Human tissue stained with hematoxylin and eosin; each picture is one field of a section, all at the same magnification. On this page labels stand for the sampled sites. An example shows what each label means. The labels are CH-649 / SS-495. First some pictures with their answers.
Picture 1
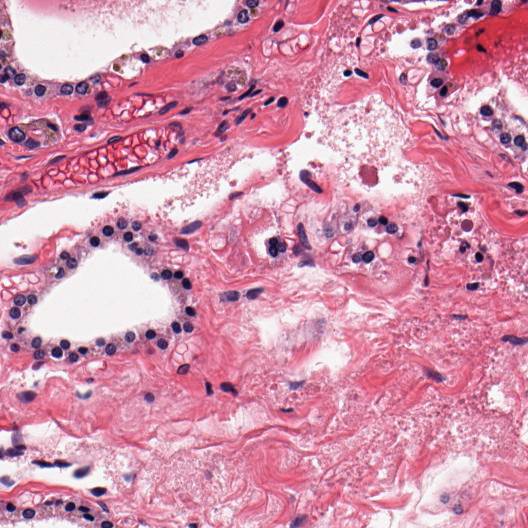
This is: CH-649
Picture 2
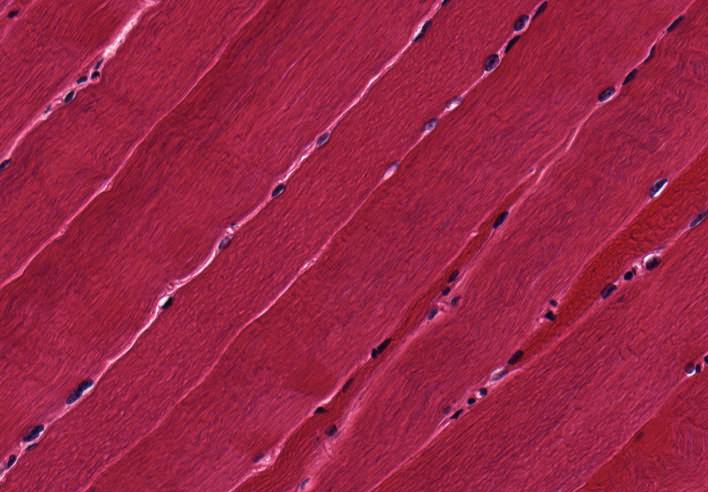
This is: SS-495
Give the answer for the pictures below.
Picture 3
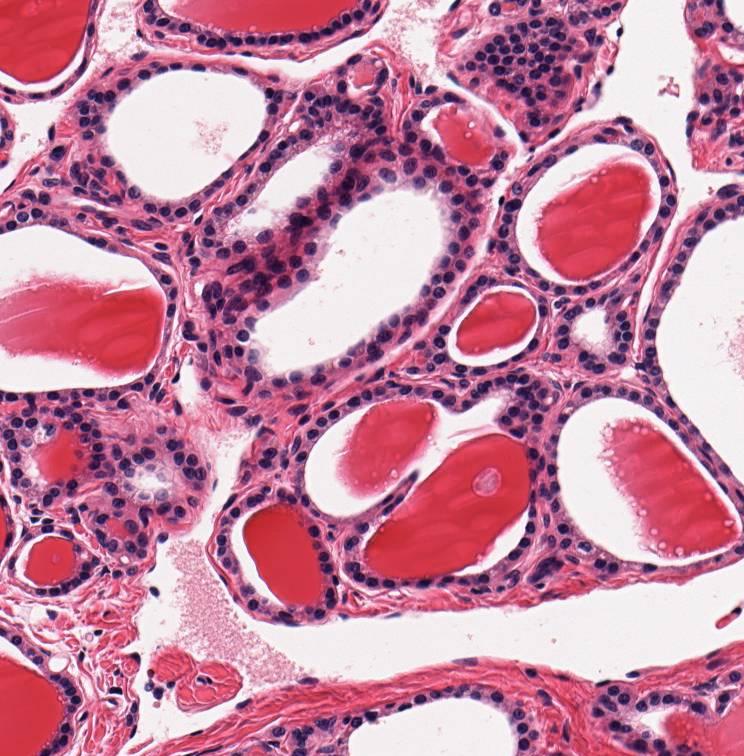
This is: CH-649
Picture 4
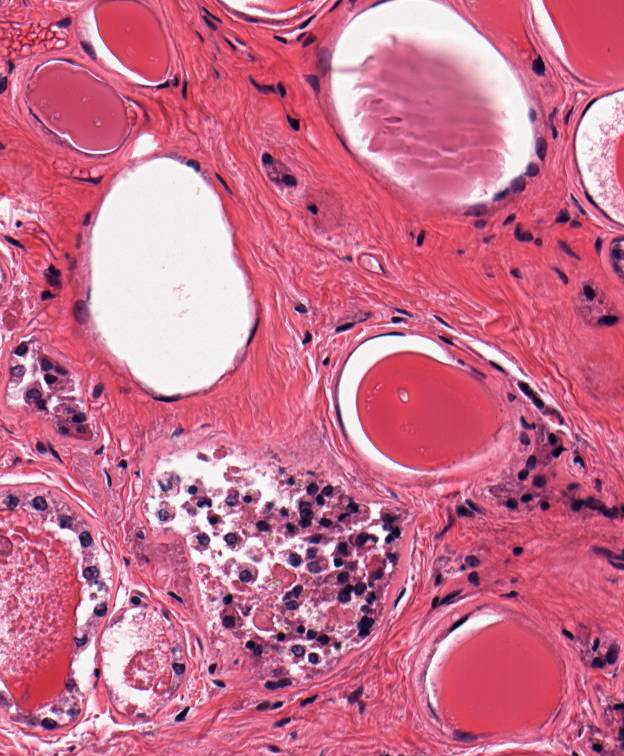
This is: CH-649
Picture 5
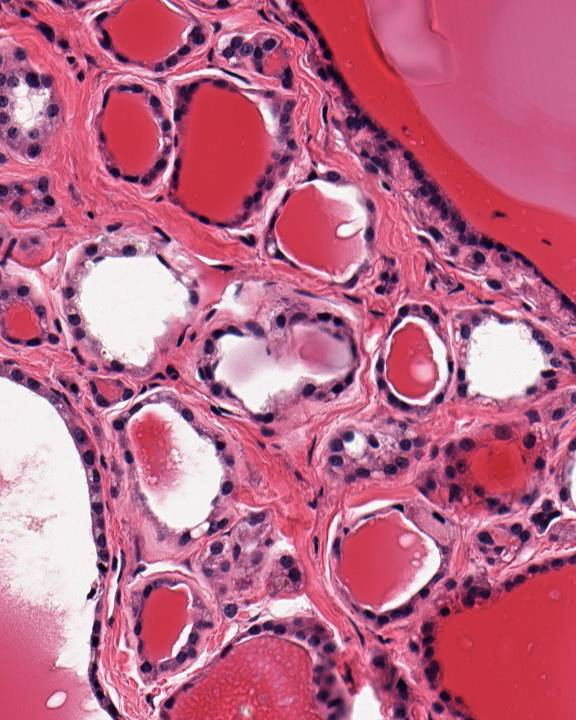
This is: CH-649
